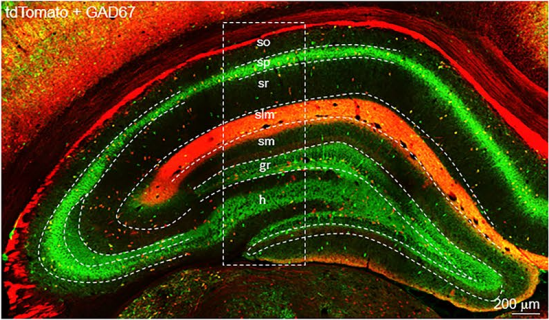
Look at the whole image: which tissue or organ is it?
hippocampus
